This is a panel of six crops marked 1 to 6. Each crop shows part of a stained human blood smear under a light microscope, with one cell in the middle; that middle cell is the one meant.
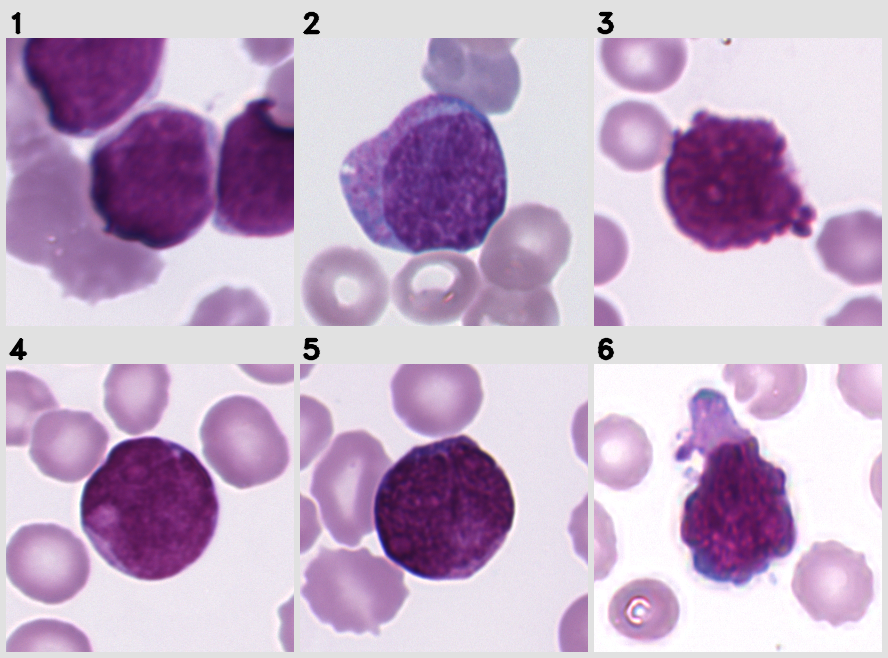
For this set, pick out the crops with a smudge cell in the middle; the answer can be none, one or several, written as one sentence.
Only crop 3 of this set contains a smudge cell.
